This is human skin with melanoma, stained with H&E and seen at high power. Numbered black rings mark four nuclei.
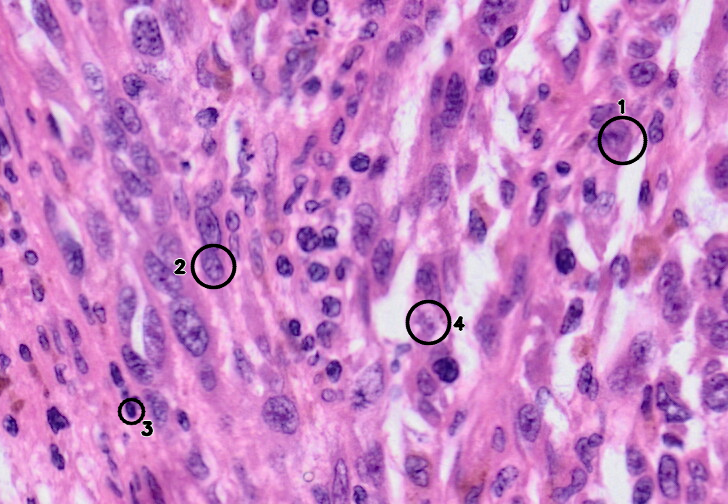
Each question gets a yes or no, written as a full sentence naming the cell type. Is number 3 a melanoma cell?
No, cell 3 is not a melanoma cell, but is instead a lymphocyte.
